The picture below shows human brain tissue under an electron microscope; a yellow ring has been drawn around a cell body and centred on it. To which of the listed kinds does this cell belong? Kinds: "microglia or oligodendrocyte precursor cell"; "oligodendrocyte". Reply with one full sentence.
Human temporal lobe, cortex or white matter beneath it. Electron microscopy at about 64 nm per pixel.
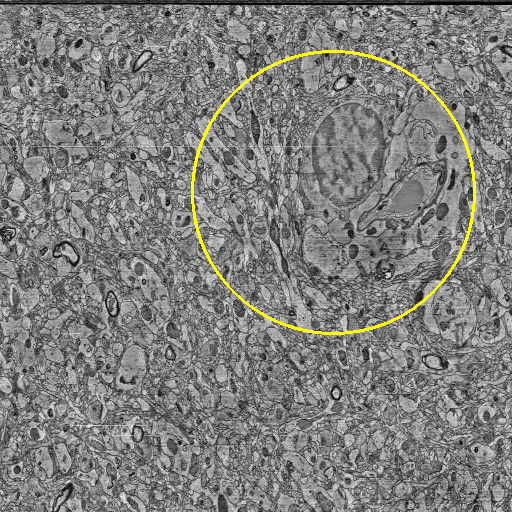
It is an oligodendrocyte that the yellow ring in the picture is centred on.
